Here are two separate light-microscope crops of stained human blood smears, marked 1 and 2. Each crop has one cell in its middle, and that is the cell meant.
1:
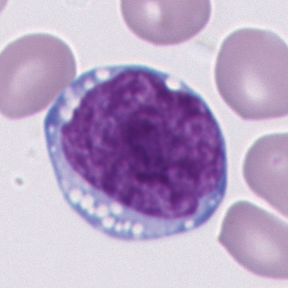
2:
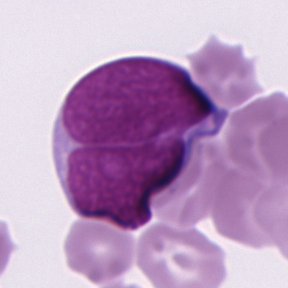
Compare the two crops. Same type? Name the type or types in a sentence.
Yes, myeloblasts are present at the centre of both crops.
